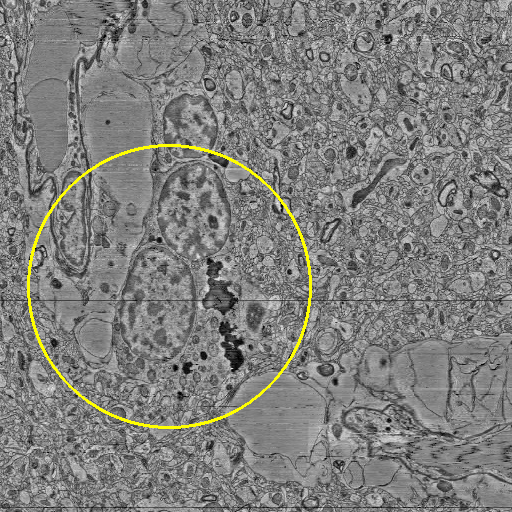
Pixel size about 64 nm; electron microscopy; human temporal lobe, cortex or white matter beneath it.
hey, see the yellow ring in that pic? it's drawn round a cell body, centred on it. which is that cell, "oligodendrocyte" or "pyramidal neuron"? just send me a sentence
The cell in the ring is an oligodendrocyte.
